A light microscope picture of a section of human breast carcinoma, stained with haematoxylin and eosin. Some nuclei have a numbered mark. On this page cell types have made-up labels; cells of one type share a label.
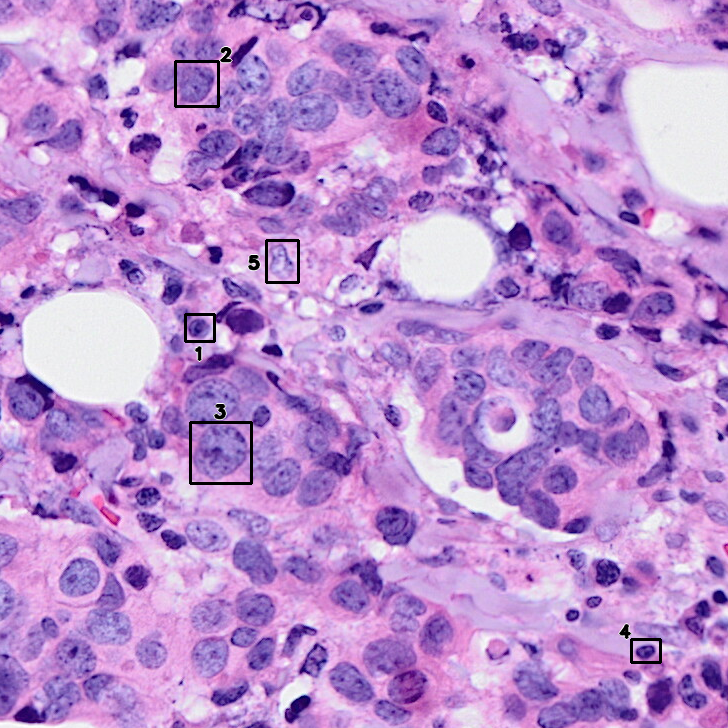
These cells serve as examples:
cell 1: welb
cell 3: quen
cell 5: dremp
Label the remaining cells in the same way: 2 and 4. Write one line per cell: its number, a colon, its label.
2: quen
4: welb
